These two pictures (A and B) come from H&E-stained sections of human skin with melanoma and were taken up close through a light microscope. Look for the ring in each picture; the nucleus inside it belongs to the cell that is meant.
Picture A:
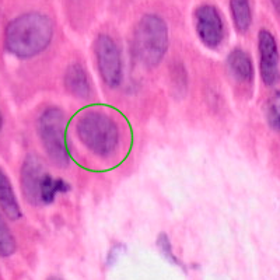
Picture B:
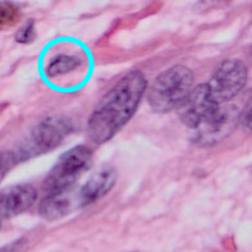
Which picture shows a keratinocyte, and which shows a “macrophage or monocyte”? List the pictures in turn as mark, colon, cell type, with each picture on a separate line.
A: keratinocyte
B: macrophage or monocyte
